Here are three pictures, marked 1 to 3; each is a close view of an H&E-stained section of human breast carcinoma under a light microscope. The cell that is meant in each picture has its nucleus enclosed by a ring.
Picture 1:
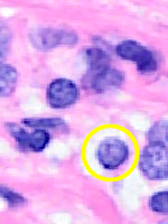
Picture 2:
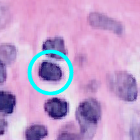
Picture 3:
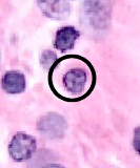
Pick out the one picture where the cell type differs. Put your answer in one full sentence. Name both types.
All pictures except 1 show lymphocytes; picture 1 shows a carcinoma cell.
